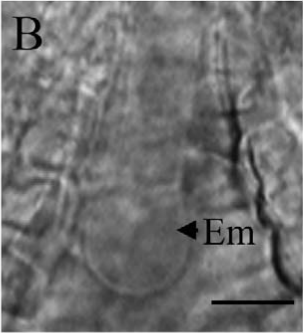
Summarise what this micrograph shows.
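A young embryo lies within the embryo sac of a developing ovule. It appears as a small rounded mass with a smooth, sharply drawn outline. Around it the surrounding ovule tissue shows irregular cell walls and a textured, grainy appearance.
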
